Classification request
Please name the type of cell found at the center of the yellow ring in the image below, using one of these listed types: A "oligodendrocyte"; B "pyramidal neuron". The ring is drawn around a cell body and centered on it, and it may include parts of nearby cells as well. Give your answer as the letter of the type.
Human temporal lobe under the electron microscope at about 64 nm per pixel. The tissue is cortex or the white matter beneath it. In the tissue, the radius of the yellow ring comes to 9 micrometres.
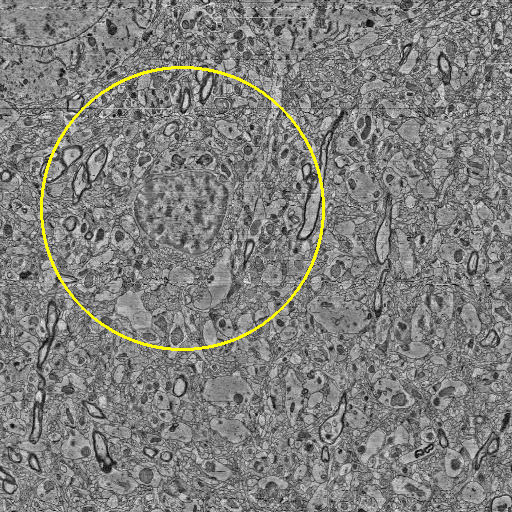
A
